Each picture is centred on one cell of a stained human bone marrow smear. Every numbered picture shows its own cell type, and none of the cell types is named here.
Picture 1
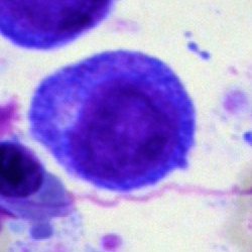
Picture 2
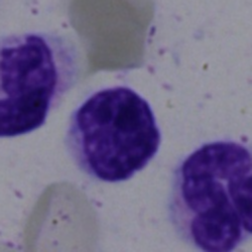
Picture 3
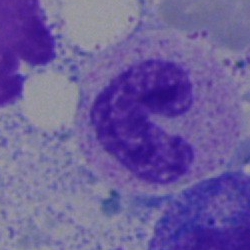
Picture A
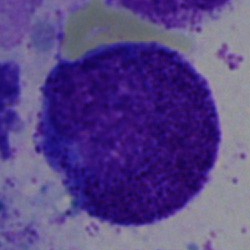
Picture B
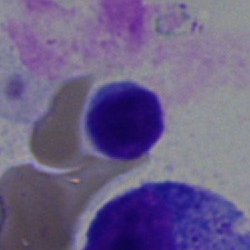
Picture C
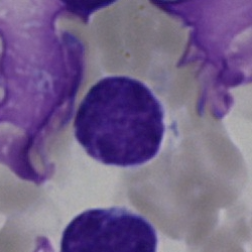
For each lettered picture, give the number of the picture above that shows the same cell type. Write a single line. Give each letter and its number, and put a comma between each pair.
A 1, B 2, C 2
